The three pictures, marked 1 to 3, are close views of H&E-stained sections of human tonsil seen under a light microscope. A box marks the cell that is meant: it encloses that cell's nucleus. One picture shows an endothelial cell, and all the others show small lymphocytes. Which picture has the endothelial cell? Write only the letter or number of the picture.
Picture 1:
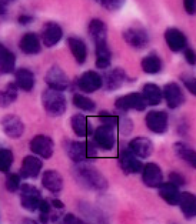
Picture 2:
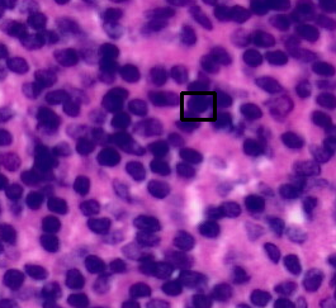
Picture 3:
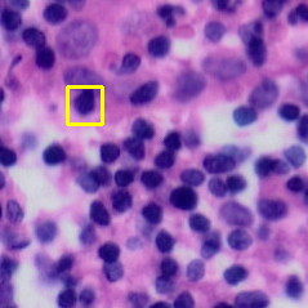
3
